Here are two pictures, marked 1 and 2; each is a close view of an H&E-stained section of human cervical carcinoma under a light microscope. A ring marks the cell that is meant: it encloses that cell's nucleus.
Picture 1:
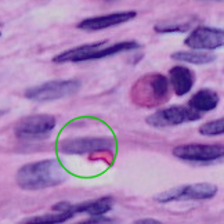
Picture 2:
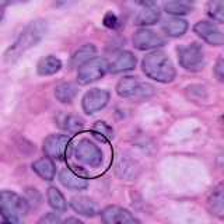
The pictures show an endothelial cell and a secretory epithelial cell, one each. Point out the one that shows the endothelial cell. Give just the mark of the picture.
1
